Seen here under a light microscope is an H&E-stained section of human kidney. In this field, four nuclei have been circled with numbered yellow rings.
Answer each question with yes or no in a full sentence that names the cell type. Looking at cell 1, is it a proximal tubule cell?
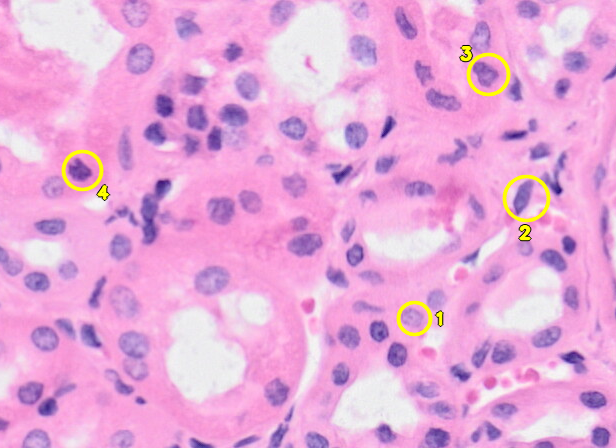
No, the cell given number 1 is a collecting duct cell, not a proximal tubule cell.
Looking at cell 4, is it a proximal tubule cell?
Yes, and to answer plainly, cell 4 is a proximal tubule cell.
